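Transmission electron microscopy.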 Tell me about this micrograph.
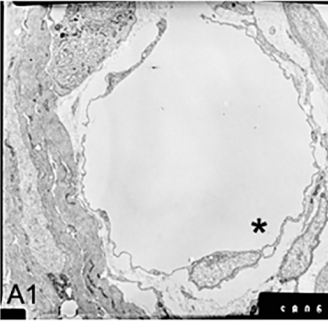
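A large, roughly round, empty lumen is lined by a very thin, wavy cytoplasmic layer with a few flattened, elongated cells whose nuclei bulge slightly along the wall. Outside this lining lie several layers of elongated cells with darker cytoplasm running parallel to the wall. At the lower right of the lining a thin cytoplasmic extension runs along the wall.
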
